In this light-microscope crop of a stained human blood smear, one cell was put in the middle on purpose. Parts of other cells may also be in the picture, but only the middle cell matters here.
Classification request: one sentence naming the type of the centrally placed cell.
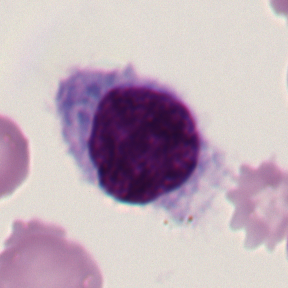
In the middle of this smear crop, the cell is a hairy cell.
